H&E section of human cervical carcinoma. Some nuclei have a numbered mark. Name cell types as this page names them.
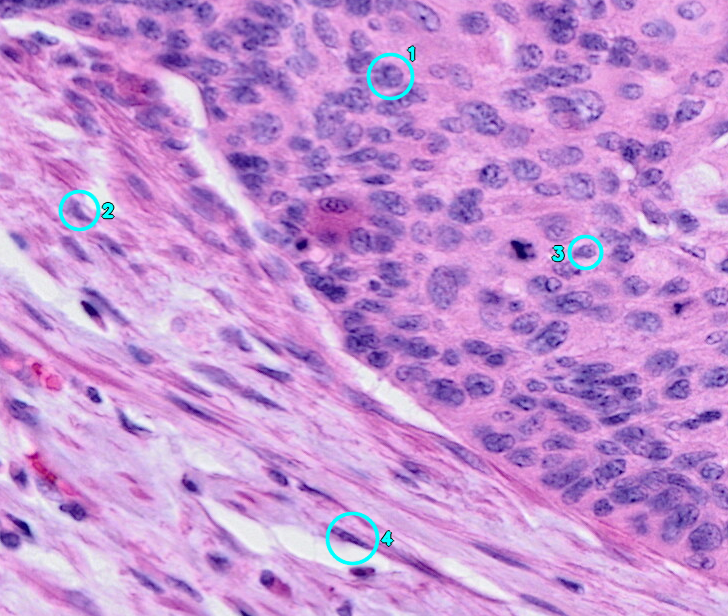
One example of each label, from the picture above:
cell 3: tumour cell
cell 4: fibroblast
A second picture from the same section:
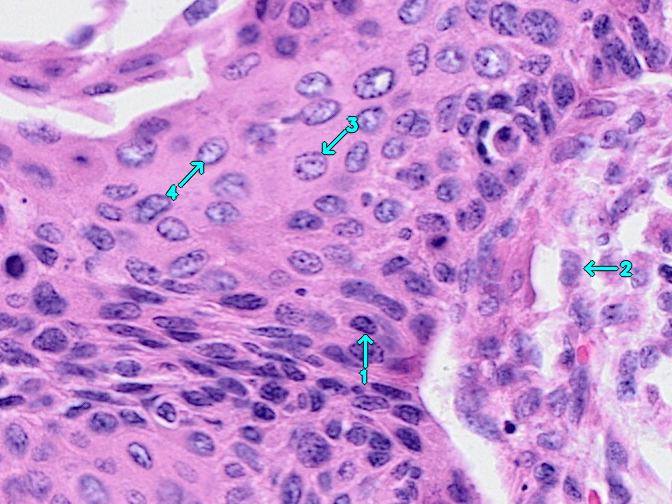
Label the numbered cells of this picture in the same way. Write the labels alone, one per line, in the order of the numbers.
tumour cell
fibroblast
tumour cell
tumour cell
